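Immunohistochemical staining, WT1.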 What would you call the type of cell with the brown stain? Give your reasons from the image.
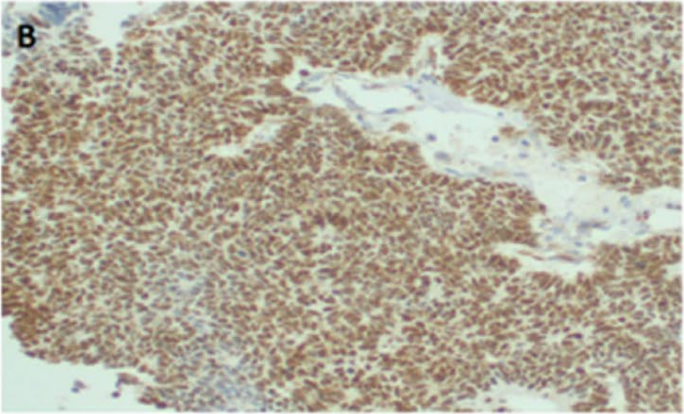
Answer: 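Dense sheets of small, crowded cells with oval nuclei are stained brown. A thin strip of loose stroma crossing the field is largely unstained. So: blastema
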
